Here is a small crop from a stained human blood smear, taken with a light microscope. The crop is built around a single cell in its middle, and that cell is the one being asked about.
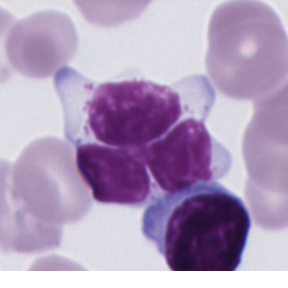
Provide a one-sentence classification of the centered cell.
The central cell in this smear crop is a large granular lymphocyte.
